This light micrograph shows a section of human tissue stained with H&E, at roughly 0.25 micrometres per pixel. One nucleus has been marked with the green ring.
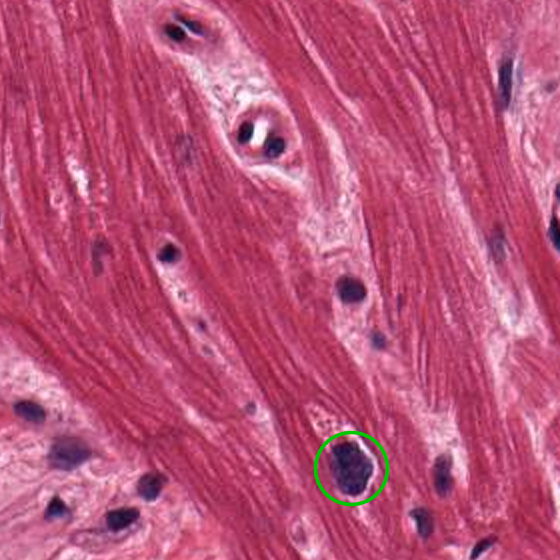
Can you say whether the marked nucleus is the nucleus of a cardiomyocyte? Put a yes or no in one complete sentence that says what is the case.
Yes, within this field the marked nucleus is that of a cardiomyocyte.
